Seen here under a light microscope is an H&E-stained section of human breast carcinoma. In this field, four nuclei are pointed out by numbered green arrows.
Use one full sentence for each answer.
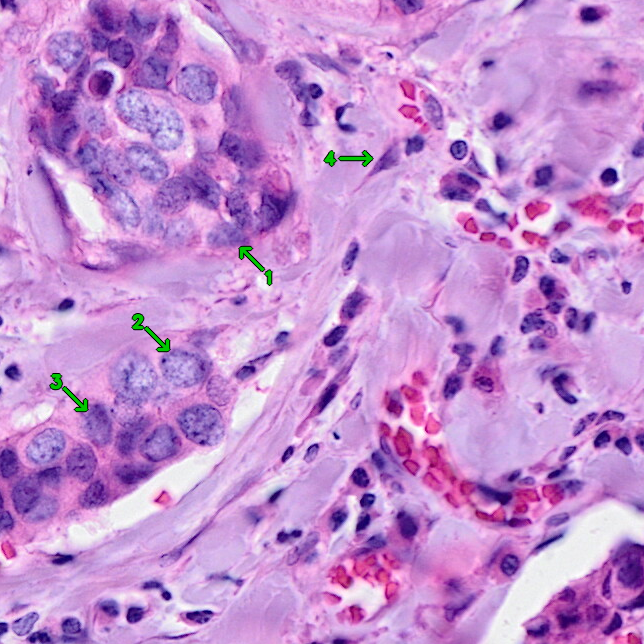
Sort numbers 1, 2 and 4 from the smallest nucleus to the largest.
Smallest first, the nuclei run 4, 1, 2.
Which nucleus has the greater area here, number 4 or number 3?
Nucleus 3 is larger, with an area about 2.5 times that of nucleus 4.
